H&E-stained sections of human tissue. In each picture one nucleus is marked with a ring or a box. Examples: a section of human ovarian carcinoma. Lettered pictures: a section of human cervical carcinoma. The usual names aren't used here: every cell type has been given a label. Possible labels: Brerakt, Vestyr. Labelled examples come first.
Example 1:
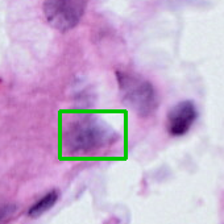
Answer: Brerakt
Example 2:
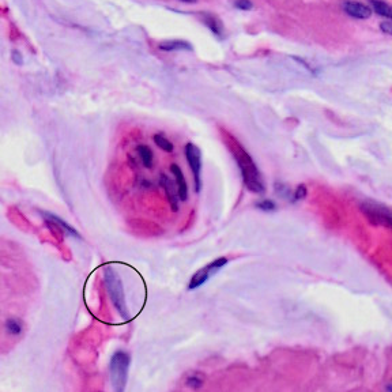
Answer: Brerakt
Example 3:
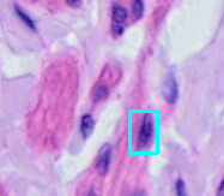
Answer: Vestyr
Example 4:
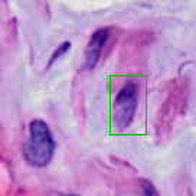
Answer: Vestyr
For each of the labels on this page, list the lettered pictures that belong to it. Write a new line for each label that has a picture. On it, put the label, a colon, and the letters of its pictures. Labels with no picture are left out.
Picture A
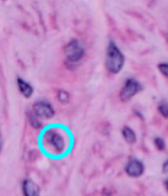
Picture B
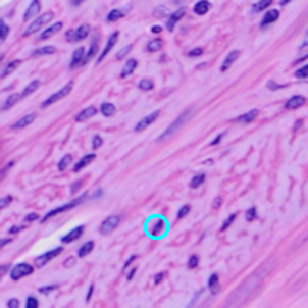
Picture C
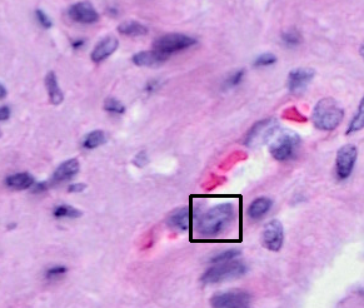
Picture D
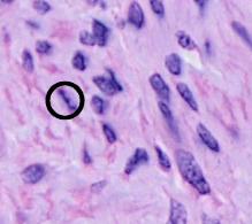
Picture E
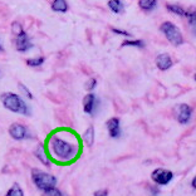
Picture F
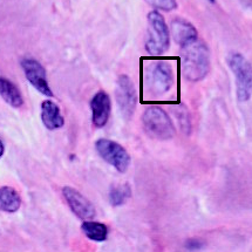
Brerakt: C, F
Vestyr: A, B, D, E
